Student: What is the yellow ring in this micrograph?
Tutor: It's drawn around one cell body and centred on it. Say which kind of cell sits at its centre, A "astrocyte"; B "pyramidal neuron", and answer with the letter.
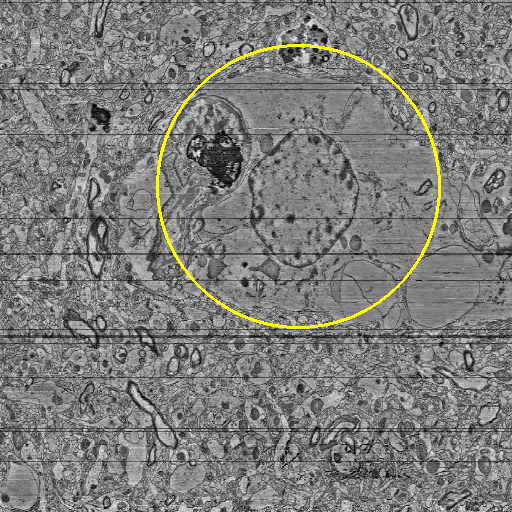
A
